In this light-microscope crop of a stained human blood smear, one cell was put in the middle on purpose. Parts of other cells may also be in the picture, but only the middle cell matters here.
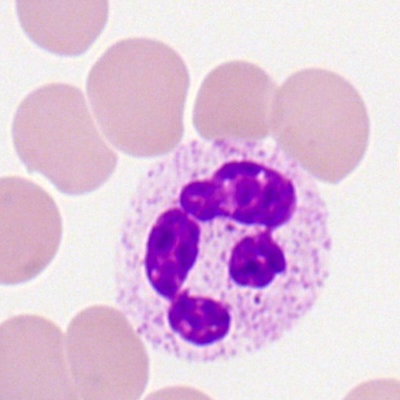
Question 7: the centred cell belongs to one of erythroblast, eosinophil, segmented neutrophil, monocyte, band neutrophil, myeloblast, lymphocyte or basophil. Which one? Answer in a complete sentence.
In the middle of this smear crop, the cell is a segmented neutrophil.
